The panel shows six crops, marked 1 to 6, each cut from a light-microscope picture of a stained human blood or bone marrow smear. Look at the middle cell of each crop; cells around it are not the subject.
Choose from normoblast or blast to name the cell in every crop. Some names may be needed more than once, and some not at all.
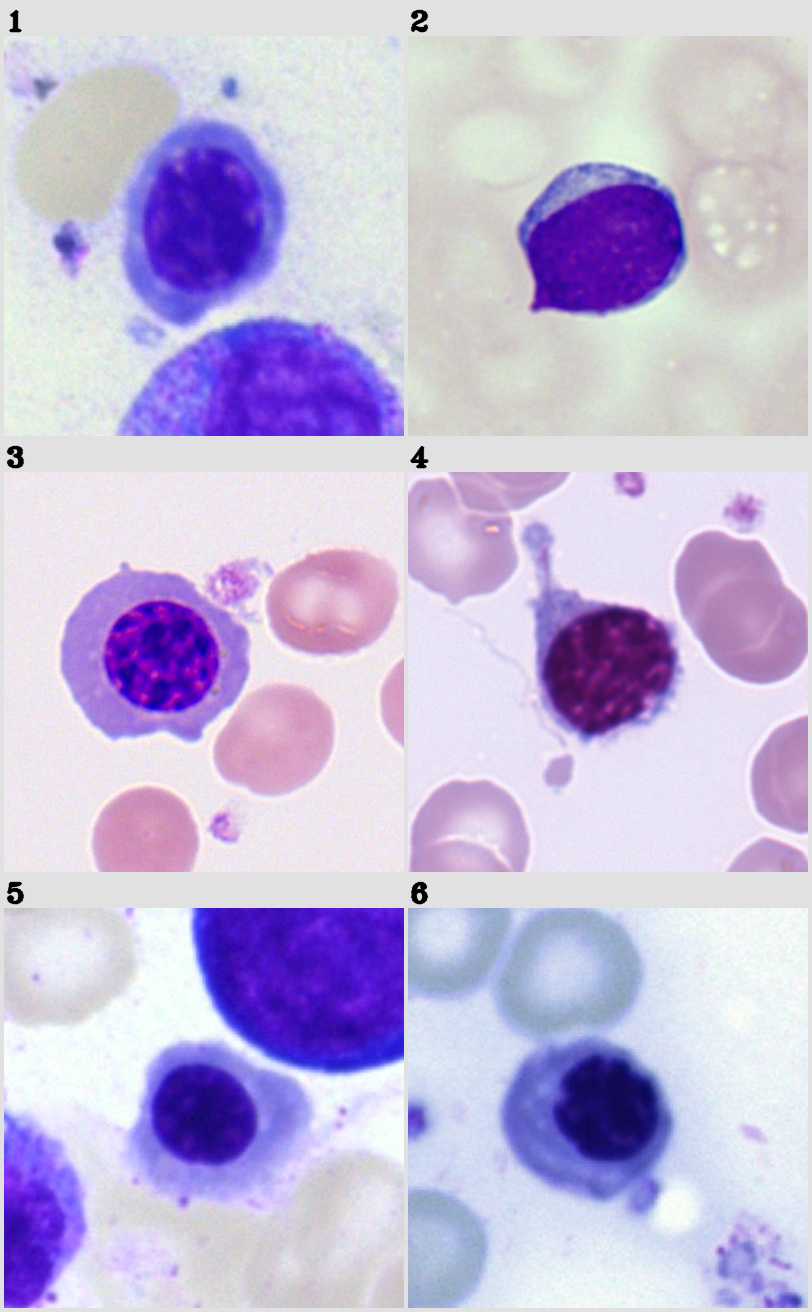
1: normoblast
2: blast
3: normoblast
4: normoblast
5: normoblast
6: normoblast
